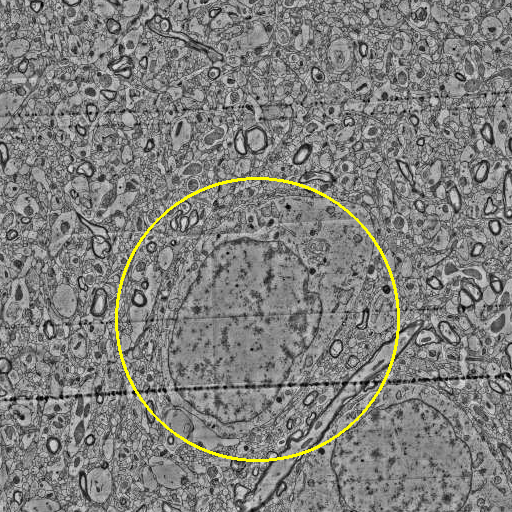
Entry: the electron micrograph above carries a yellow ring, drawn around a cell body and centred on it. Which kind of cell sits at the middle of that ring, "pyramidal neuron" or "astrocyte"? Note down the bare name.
pyramidal neuron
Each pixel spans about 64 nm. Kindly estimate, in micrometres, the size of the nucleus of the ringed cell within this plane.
About 12 by 9 micrometers, in this plane.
